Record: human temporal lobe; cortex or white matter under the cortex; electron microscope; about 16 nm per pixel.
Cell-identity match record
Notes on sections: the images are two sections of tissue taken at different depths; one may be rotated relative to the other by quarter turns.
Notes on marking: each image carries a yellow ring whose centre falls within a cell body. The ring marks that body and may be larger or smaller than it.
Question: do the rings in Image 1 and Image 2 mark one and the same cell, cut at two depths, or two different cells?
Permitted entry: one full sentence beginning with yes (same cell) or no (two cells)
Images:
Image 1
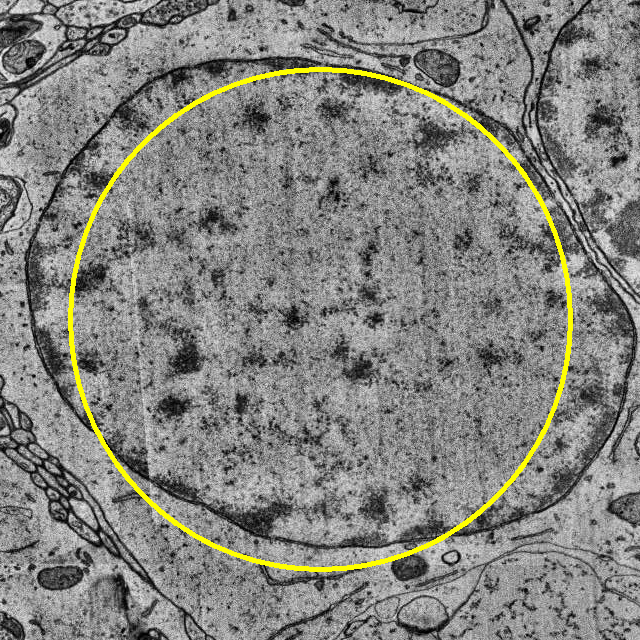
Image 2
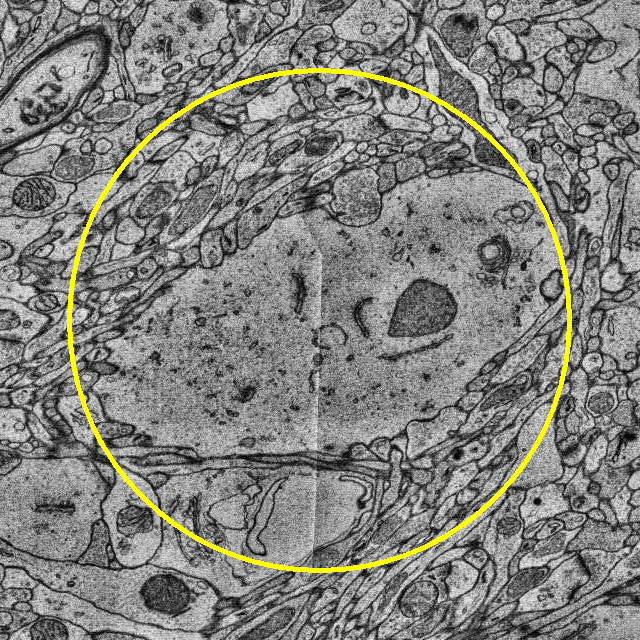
No, marked by the two rings are two different cells.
